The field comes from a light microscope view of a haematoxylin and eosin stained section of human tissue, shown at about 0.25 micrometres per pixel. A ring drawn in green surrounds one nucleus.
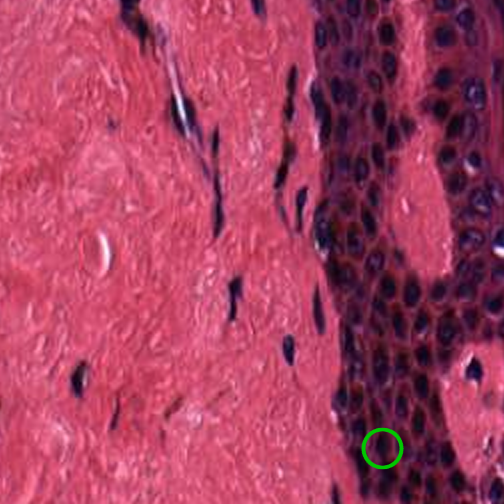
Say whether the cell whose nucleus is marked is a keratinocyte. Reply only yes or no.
yes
